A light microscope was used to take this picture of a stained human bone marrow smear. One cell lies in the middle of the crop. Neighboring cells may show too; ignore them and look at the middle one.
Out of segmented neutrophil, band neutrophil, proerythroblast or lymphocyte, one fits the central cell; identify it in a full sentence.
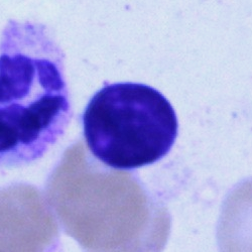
This crop has a lymphocyte at its centre.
